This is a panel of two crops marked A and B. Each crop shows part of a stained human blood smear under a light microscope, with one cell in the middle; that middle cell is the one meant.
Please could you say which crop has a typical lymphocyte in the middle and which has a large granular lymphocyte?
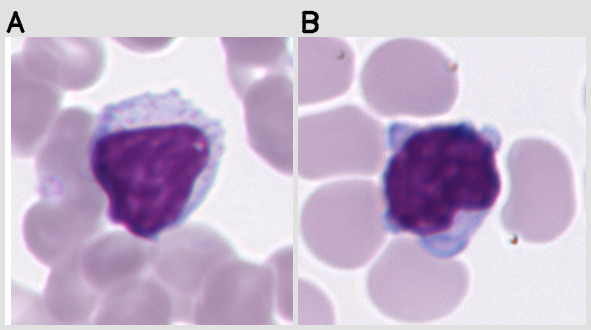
A: large granular lymphocyte
B: typical lymphocyte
